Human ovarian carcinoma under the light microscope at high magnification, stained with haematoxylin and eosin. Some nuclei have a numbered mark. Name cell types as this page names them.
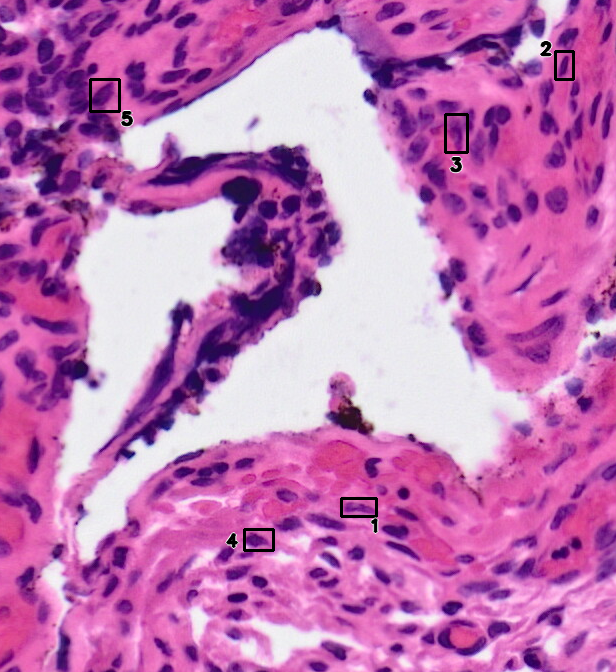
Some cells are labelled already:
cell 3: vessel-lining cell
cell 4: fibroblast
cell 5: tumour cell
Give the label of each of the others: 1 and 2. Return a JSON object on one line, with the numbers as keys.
{"1": "fibroblast", "2": "vessel-lining cell"}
